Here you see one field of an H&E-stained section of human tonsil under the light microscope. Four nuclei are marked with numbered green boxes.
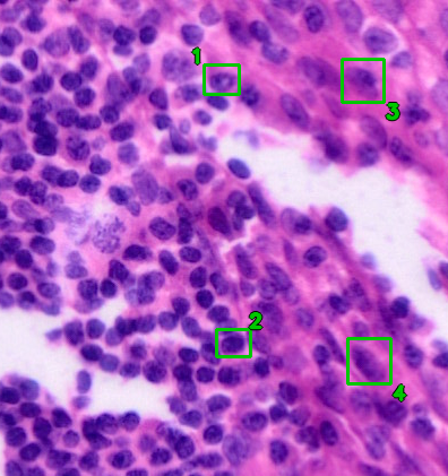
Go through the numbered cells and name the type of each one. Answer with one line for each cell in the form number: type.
1: plasma cell
2: small lymphocyte
3: squamous epithelial cell
4: squamous epithelial cell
